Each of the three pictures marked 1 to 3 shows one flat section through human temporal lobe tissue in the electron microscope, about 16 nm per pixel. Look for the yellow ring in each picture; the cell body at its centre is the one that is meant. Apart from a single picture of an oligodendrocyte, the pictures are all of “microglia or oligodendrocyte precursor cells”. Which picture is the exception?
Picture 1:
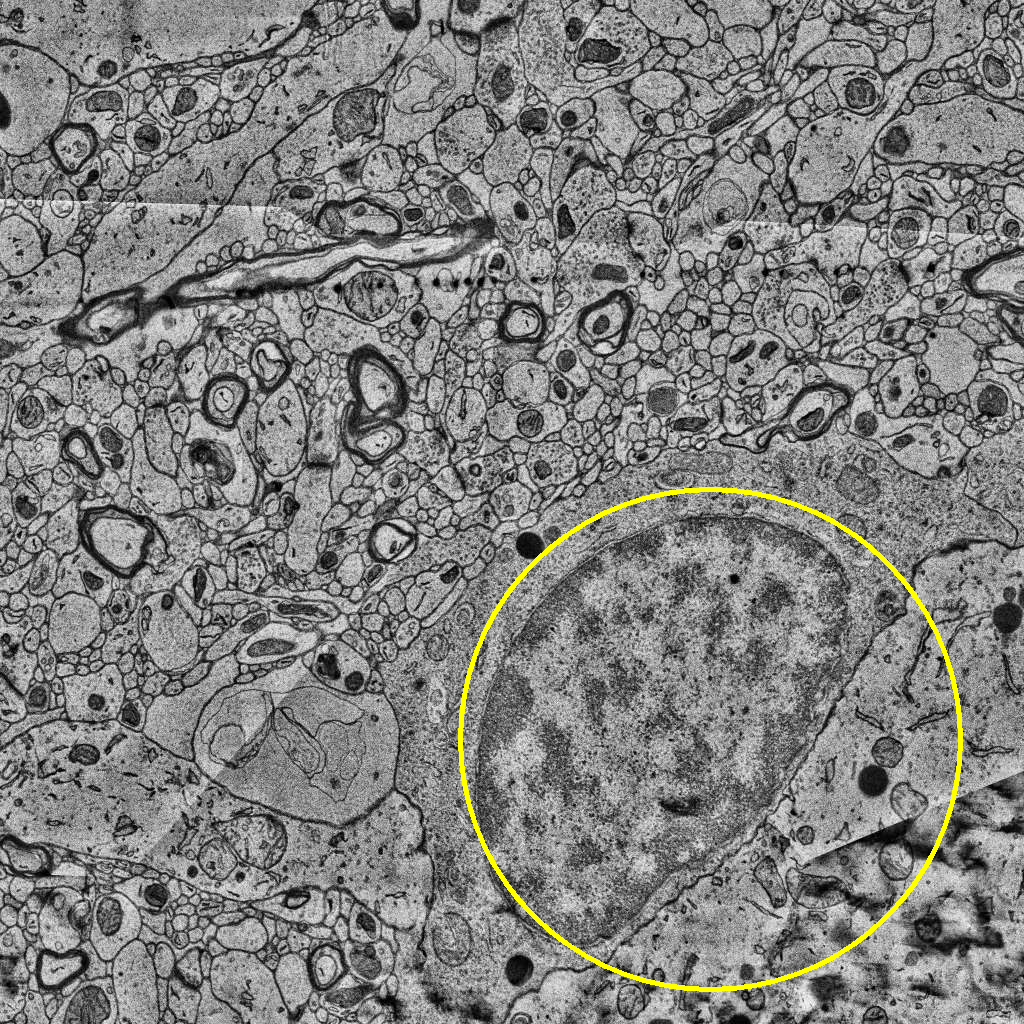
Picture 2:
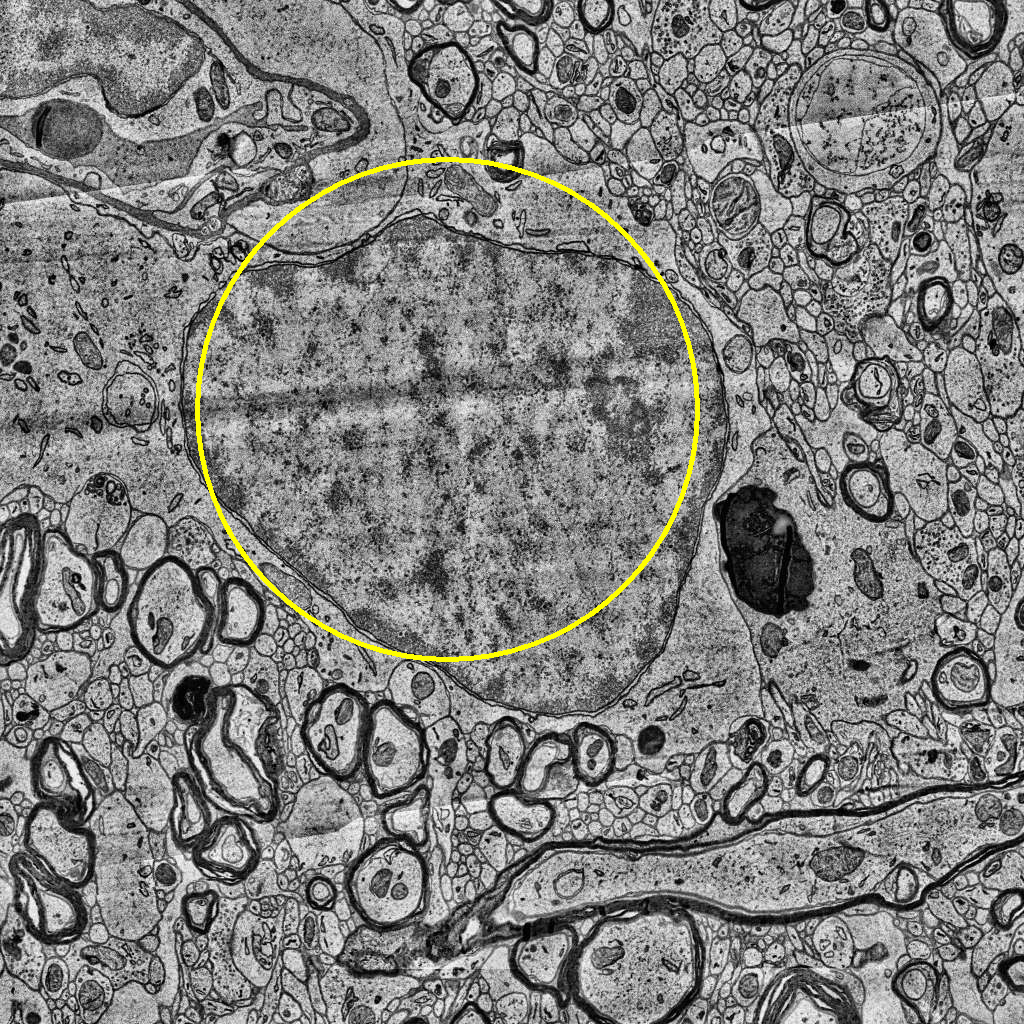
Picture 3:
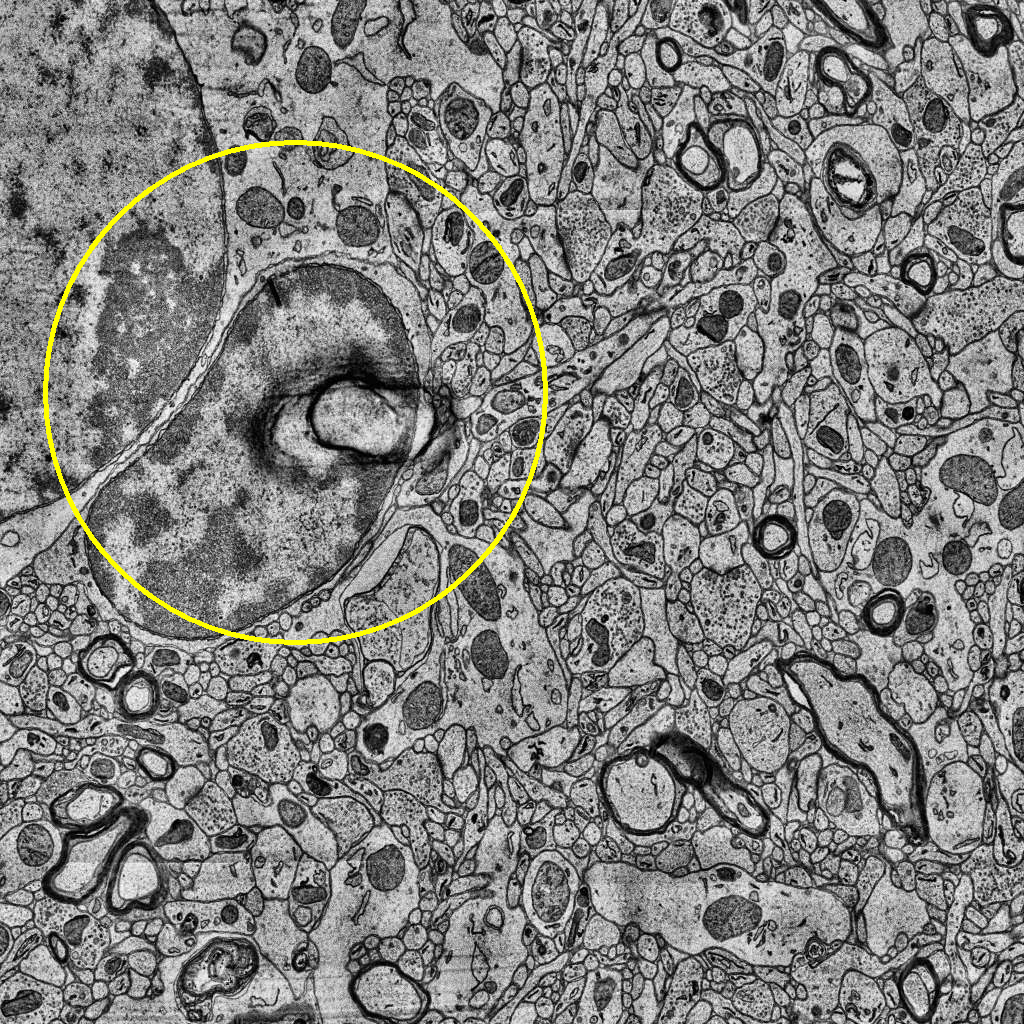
It is picture 1 that shows the oligodendrocyte.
